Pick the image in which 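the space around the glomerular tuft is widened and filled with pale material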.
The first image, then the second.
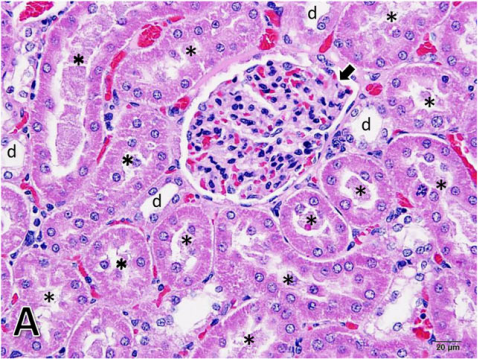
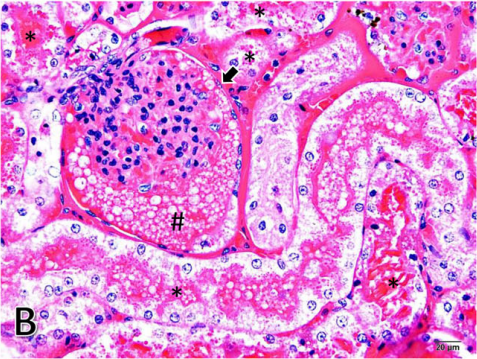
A: The second image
